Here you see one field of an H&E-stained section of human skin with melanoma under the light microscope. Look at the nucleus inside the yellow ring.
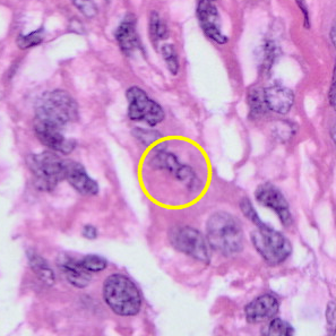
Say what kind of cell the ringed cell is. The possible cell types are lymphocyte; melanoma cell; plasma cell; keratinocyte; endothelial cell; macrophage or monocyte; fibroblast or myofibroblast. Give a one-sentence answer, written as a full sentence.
The identity of the ringed cell: it is a melanoma cell.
